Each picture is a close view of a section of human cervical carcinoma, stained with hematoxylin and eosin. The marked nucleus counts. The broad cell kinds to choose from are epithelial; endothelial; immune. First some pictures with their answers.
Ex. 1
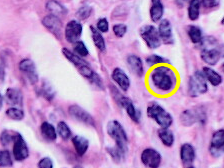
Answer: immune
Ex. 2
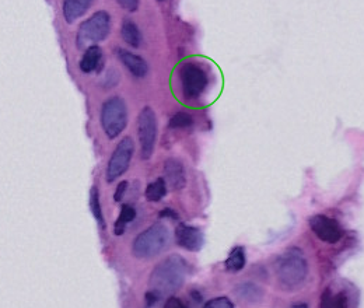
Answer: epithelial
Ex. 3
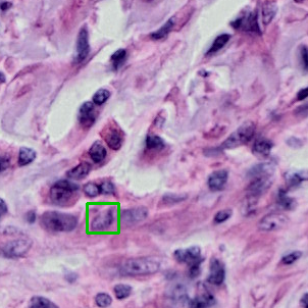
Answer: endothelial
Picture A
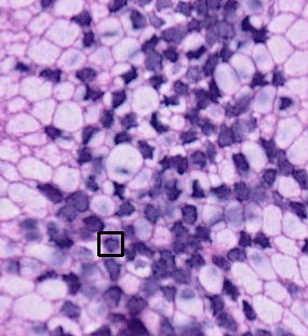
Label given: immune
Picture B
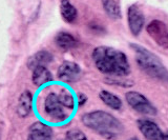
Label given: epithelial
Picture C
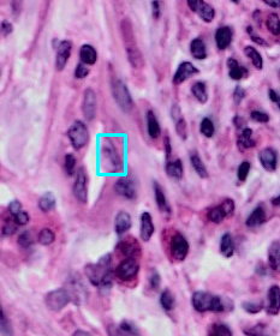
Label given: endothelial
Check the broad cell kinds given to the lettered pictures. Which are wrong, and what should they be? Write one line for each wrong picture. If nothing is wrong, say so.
A is labelled immune; correct label: epithelial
